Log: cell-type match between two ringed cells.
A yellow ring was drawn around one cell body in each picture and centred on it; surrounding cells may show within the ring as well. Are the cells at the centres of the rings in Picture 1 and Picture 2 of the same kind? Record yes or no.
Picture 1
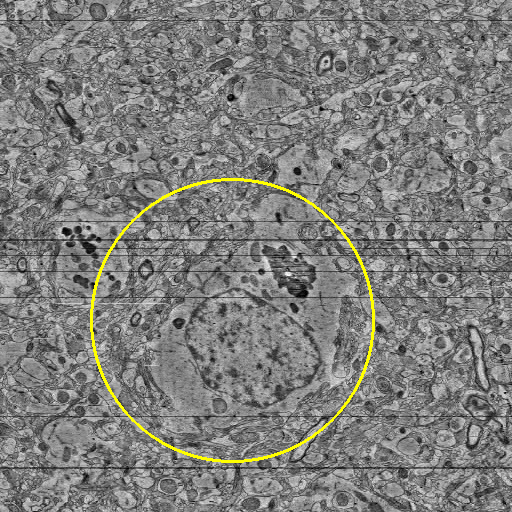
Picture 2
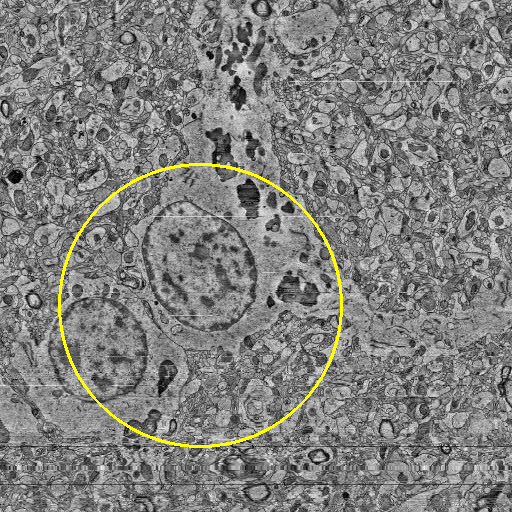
yes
